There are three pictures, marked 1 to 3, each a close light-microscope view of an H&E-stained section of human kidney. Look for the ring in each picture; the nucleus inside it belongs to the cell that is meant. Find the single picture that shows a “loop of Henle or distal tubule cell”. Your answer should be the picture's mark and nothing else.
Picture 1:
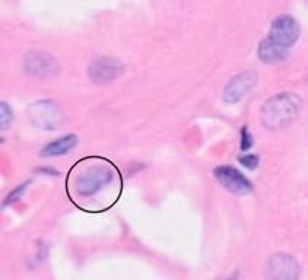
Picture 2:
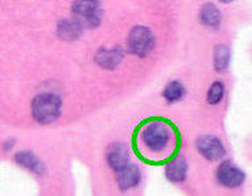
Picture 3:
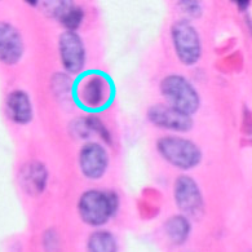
1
